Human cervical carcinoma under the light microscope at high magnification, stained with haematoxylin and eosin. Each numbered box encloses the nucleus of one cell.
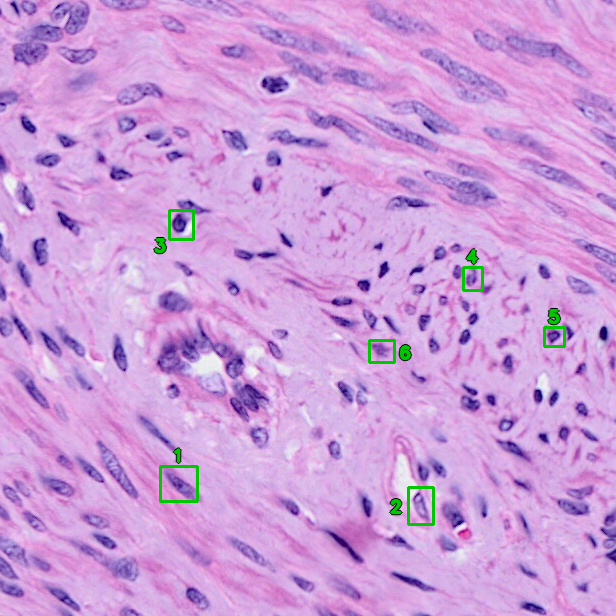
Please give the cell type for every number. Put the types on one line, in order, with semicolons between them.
smooth muscle cell; endothelial cell; lymphocyte; smooth muscle cell; smooth muscle cell; smooth muscle cell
